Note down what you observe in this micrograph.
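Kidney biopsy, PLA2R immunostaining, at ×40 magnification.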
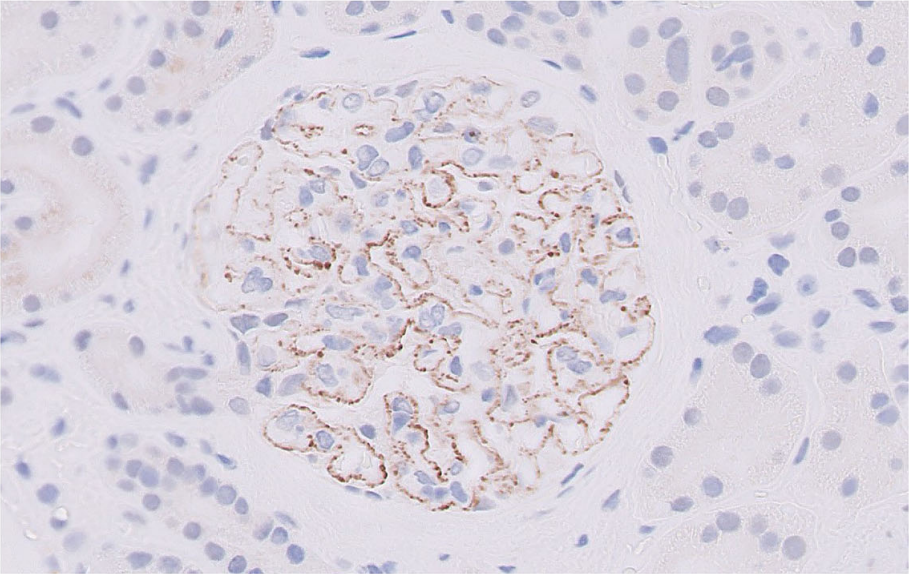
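A fine, granular brown stain traces the outlines of the glomerular capillary loops, running along their walls in a dotted pattern. The cell nuclei inside the tuft and in the tubules are counterstained blue, while the tubules themselves show little or no brown stain.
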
